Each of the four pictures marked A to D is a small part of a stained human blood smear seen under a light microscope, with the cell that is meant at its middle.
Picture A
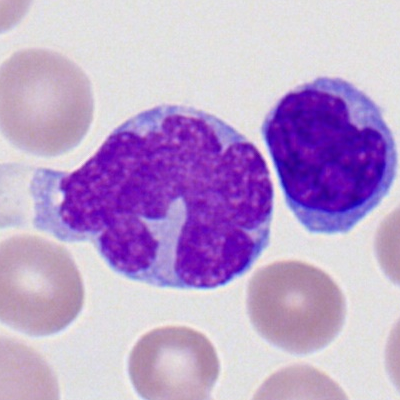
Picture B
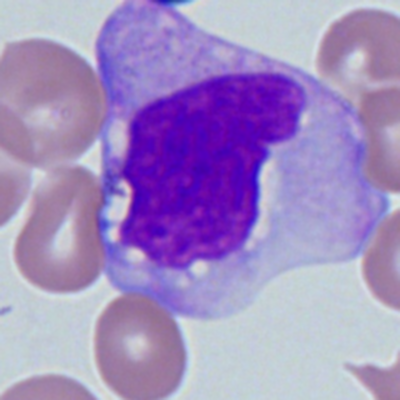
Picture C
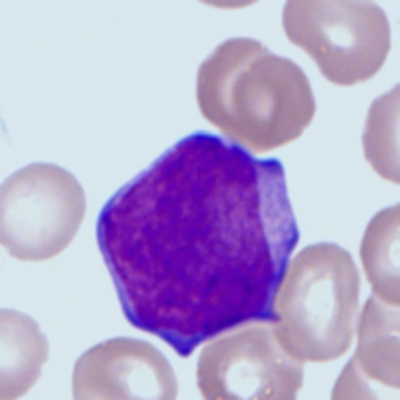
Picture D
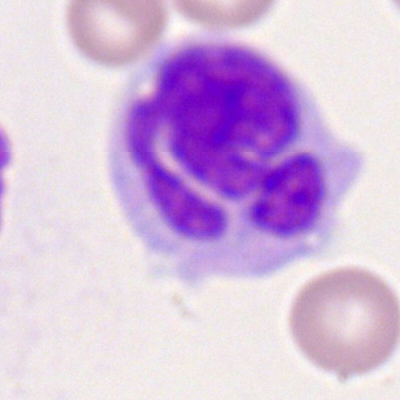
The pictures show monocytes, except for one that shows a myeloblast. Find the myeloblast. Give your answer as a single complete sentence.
The picture with the myeloblast is C.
